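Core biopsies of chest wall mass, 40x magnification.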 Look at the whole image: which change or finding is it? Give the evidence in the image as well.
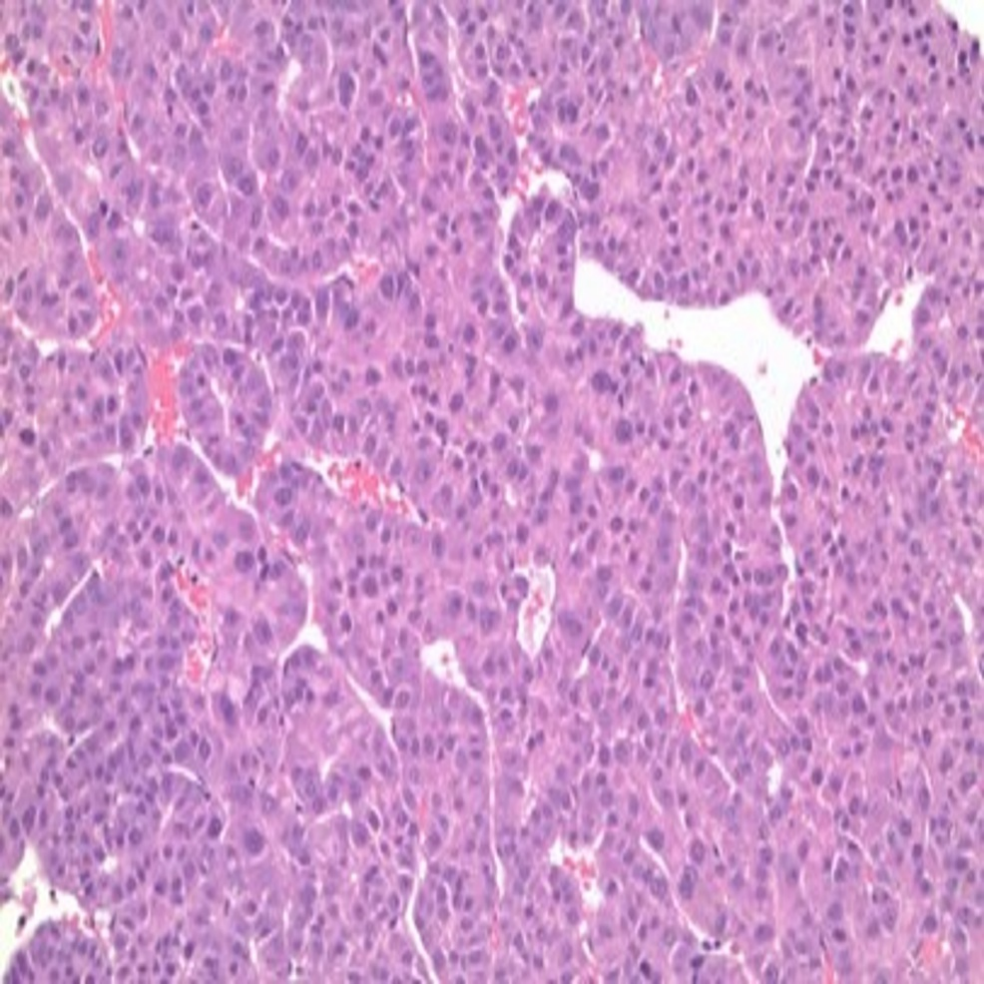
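Polygonal tumour cells with abundant pink cytoplasm resemble liver cells. Cells are arranged in thick trabeculae several cells wide. Trabeculae are separated by thin-walled, sinusoid-like vascular spaces containing red blood cells. Normal lobular architecture with portal tracts is absent.
Conclusion: hepatocellular carcinoma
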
